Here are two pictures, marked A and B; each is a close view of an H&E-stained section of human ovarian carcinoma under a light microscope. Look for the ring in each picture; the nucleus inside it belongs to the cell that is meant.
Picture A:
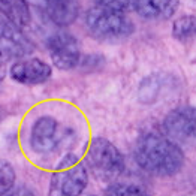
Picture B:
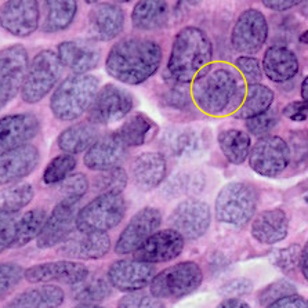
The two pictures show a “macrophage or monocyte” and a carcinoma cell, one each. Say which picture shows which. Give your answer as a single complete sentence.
Picture B shows a carcinoma cell, while picture A shows a “macrophage or monocyte”.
